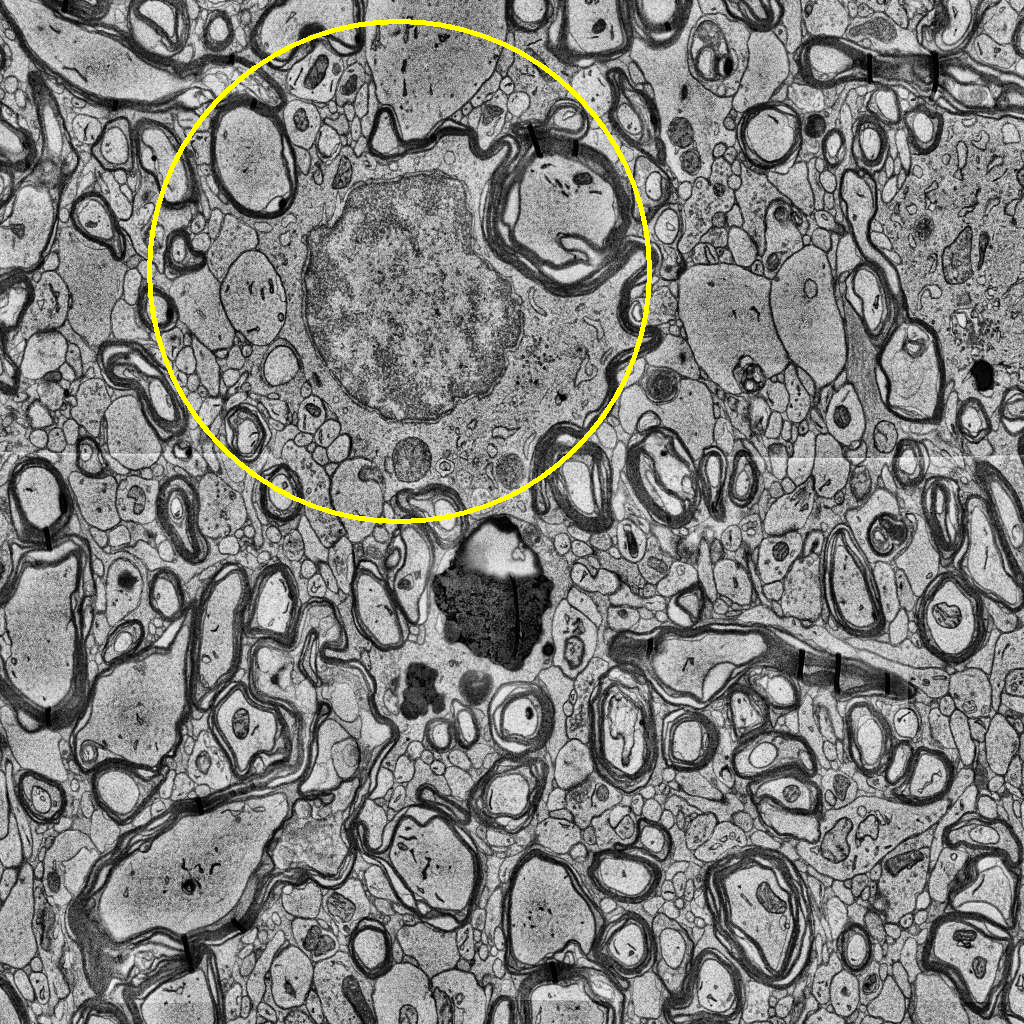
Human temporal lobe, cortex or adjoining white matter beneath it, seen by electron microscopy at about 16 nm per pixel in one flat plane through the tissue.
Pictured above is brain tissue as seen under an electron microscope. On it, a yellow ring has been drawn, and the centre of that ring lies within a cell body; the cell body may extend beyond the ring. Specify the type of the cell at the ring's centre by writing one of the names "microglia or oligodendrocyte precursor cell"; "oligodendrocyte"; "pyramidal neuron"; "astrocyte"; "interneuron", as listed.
oligodendrocyte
